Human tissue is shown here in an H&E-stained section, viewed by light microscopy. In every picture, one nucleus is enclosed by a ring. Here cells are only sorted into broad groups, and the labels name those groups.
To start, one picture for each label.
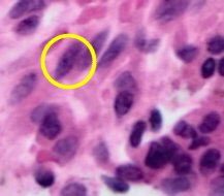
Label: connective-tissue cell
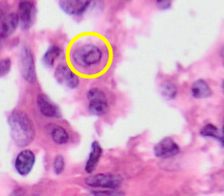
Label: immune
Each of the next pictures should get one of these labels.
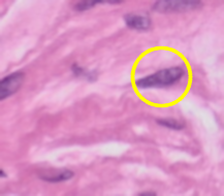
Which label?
connective-tissue cell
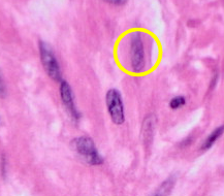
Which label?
connective-tissue cell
